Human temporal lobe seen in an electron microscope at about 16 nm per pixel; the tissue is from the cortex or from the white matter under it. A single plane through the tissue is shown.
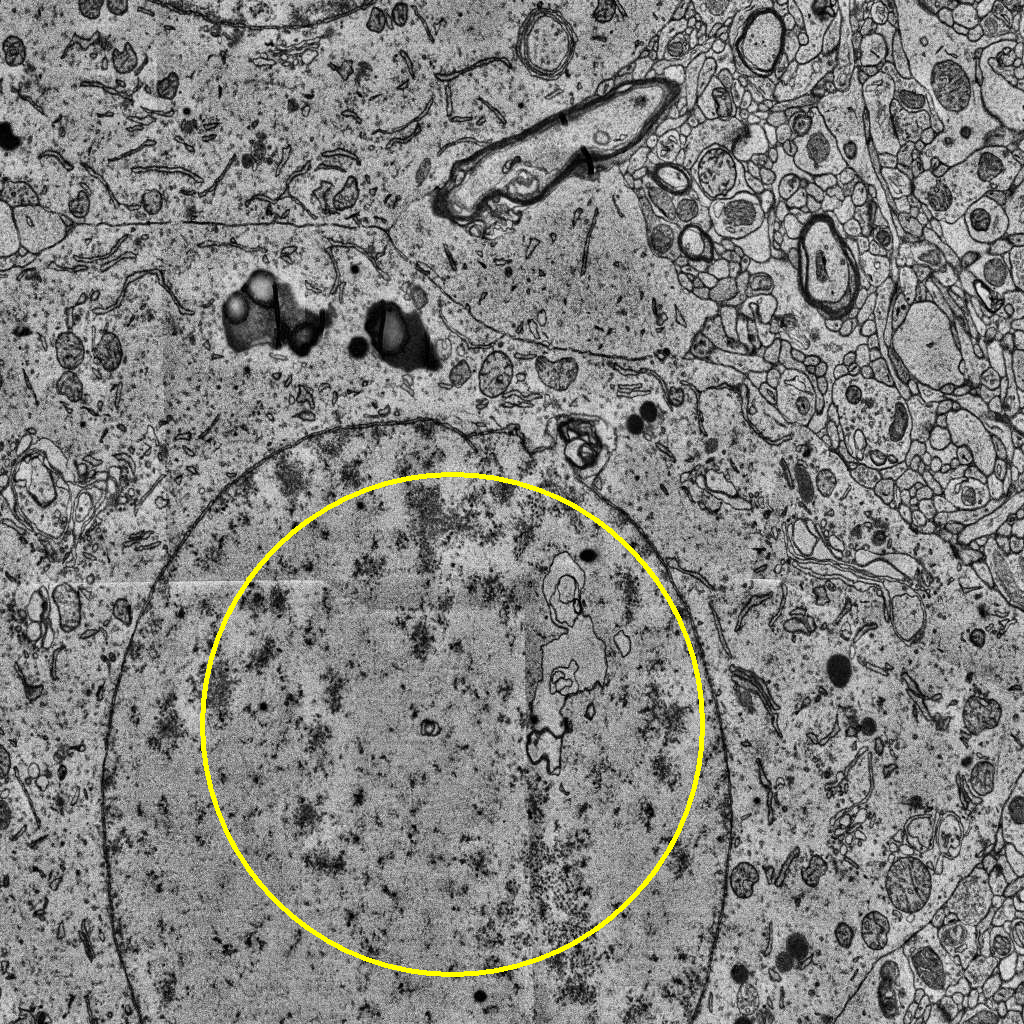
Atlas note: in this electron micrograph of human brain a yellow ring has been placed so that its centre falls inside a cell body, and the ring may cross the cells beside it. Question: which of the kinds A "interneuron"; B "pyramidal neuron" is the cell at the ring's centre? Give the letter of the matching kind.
B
